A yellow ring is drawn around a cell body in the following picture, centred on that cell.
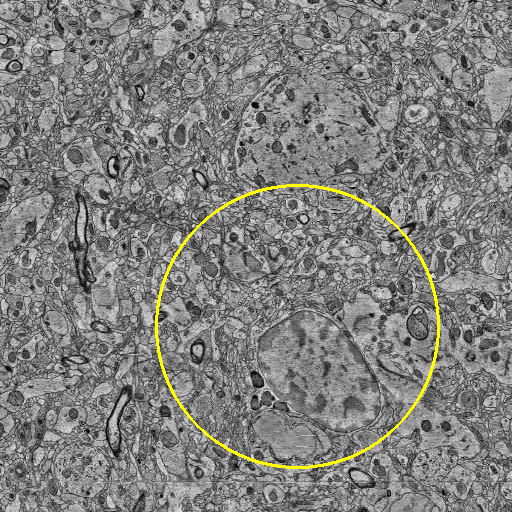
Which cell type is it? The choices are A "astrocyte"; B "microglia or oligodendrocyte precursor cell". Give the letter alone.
B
